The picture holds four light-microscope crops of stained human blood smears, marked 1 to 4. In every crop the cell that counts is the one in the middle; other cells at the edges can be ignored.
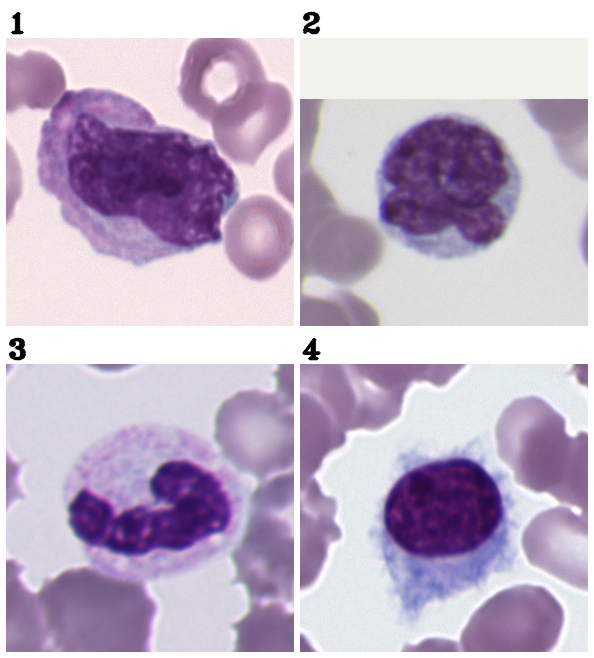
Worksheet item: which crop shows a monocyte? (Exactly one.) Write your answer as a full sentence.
Selected crop: 2, which is the one that shows a monocyte.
